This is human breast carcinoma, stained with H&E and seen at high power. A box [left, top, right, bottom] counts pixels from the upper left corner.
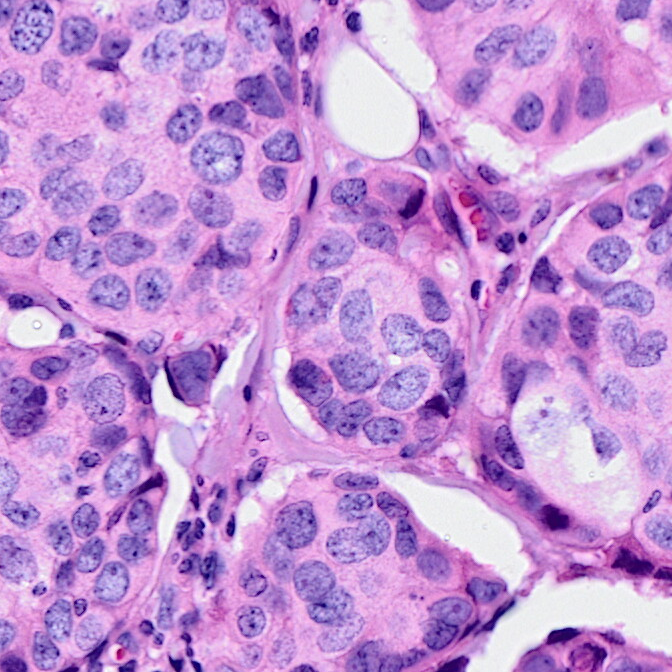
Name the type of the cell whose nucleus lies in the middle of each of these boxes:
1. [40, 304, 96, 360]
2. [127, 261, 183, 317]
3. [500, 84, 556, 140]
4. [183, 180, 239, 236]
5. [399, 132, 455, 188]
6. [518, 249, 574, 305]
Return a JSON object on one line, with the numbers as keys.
{"1": "lymphocyte", "2": "carcinoma cell", "3": "carcinoma cell", "4": "carcinoma cell", "5": "endothelial cell", "6": "carcinoma cell"}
